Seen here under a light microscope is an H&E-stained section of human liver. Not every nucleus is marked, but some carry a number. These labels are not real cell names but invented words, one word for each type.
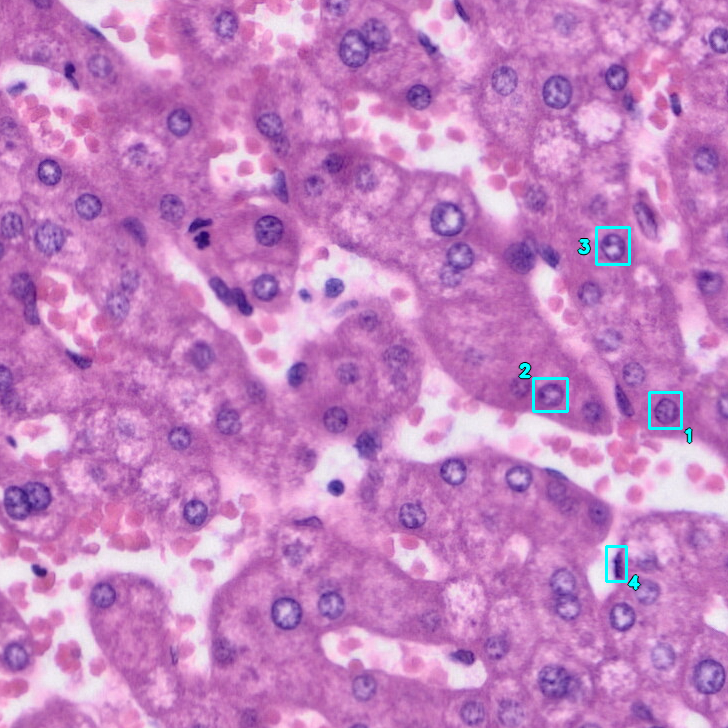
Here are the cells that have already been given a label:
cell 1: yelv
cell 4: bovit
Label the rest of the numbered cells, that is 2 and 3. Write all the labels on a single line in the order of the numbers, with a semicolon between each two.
yelv; yelv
